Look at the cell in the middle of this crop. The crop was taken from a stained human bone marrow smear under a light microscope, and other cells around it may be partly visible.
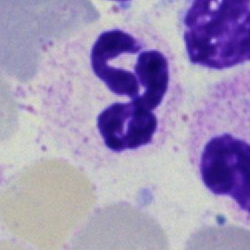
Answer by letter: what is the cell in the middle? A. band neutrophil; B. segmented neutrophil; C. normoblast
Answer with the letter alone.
B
